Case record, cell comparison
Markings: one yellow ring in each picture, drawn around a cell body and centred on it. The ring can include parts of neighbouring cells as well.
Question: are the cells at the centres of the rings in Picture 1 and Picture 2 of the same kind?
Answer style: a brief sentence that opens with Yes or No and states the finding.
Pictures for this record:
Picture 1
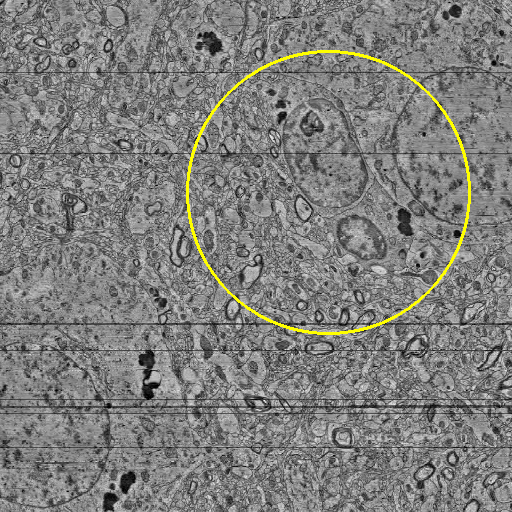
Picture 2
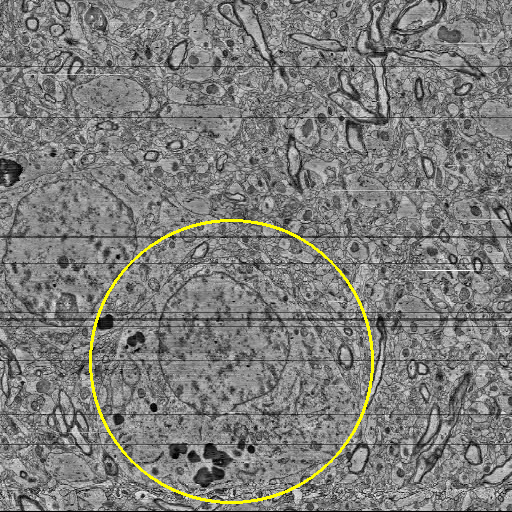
No, the cells in Picture 1 and Picture 2 are of two kinds.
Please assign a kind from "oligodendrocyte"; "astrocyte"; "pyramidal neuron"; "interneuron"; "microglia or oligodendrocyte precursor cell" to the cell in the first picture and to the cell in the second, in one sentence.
In the first picture we have an oligodendrocyte, and in the second, a pyramidal neuron.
